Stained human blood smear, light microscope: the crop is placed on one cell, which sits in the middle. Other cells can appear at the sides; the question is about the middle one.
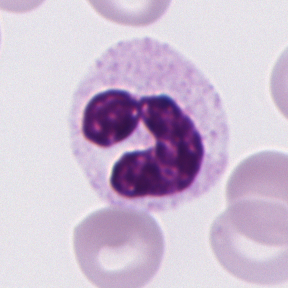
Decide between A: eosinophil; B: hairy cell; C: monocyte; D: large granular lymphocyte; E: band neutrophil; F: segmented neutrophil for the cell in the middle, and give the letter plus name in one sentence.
Of the choices given, option F is right, as the central cell is a segmented neutrophil.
